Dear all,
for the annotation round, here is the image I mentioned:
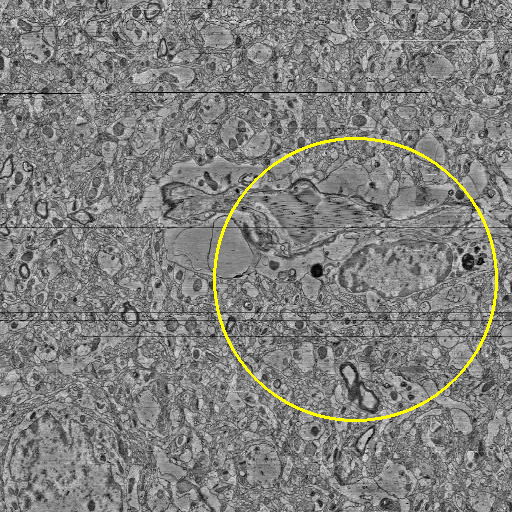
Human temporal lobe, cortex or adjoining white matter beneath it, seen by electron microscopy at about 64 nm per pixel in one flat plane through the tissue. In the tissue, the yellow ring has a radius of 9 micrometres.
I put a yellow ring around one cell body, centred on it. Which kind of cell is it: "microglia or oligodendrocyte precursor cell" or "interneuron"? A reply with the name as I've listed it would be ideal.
microglia or oligodendrocyte precursor cell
